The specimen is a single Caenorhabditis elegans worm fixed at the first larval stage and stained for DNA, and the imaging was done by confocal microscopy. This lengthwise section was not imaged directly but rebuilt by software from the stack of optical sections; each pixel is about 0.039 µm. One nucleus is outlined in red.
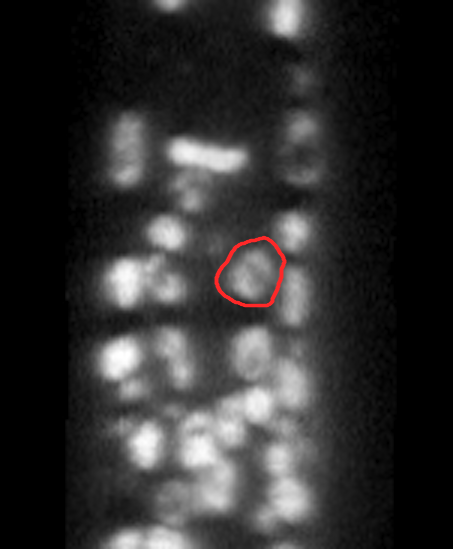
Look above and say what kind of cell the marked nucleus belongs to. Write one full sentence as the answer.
The cell with the marked nucleus is a pharyngeal muscle cell.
